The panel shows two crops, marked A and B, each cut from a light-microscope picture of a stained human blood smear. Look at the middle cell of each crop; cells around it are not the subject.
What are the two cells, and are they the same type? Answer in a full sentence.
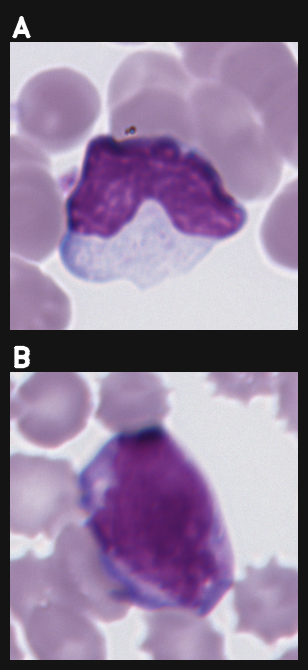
No, a myeloblast is depicted in crop B, whereas a large granular lymphocyte is depicted in crop A.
